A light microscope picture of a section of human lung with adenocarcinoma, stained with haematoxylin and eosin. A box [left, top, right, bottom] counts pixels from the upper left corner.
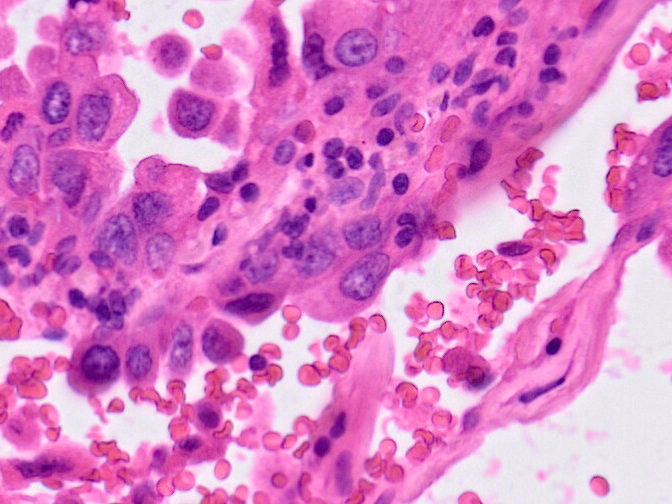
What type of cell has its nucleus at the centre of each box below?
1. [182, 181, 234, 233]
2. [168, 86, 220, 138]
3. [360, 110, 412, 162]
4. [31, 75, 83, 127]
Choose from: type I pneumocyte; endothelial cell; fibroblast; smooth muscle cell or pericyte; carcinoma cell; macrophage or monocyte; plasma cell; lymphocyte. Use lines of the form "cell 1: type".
cell 1: lymphocyte
cell 2: carcinoma cell
cell 3: lymphocyte
cell 4: carcinoma cell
